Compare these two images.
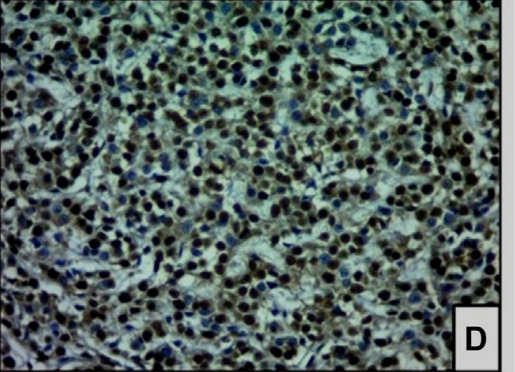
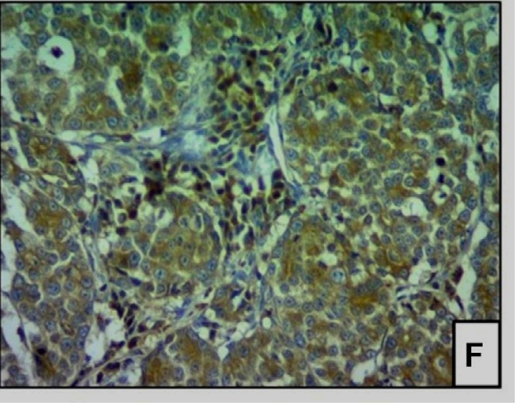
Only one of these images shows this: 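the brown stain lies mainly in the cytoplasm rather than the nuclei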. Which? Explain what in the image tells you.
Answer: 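Second image: brown stain fills the cell bodies while nuclei stay pale. First image: dark brown is confined to round nuclei with pale cytoplasm.
Answer: the second image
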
